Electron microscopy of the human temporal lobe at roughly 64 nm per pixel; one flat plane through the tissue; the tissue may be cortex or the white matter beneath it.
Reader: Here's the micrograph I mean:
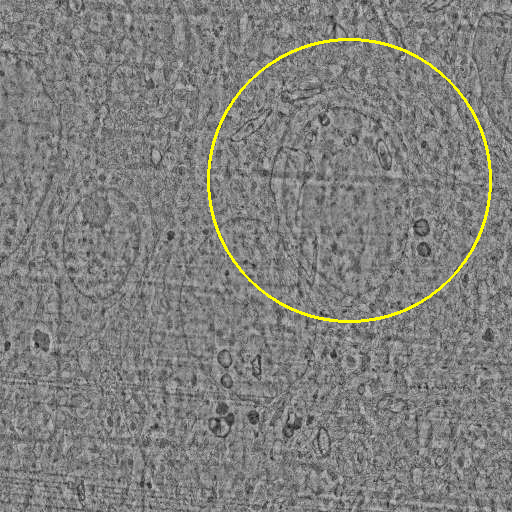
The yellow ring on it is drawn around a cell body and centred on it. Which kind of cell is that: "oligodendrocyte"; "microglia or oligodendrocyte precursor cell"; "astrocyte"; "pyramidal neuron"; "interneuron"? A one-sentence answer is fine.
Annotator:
The ring is centred on a pyramidal neuron.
